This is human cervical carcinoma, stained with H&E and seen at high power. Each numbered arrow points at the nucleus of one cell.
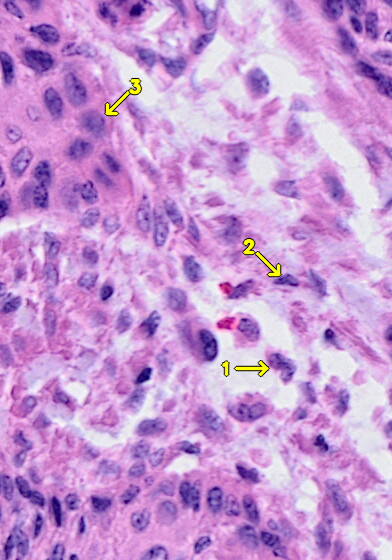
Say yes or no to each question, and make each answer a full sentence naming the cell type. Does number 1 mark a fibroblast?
No, with respect, cell 1 is a macrophage or monocyte rather than a fibroblast.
